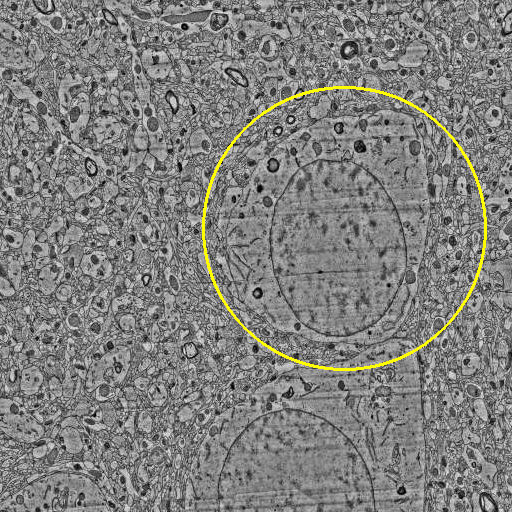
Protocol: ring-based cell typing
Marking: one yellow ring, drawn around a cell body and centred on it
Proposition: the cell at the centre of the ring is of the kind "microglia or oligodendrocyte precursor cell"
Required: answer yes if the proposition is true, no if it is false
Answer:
no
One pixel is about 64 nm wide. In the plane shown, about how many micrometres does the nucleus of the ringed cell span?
The nucleus has a long axis of about 11 micrometres and a short axis of about 9 micrometres in this plane.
